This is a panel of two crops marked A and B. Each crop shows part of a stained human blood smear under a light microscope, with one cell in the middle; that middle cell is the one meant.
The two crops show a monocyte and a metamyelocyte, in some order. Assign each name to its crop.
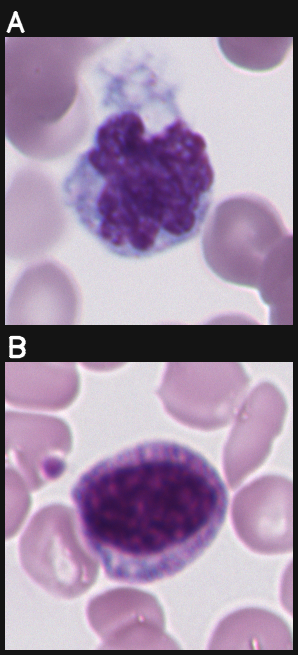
A: monocyte
B: metamyelocyte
